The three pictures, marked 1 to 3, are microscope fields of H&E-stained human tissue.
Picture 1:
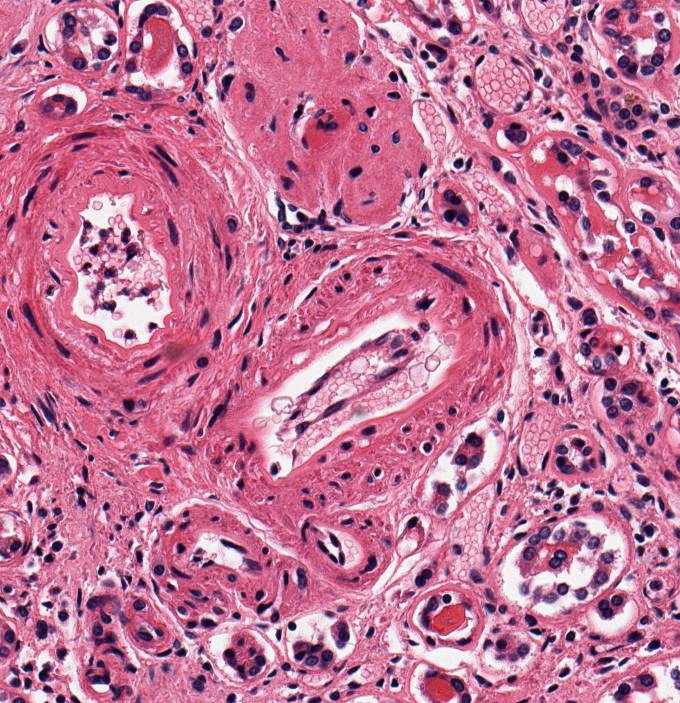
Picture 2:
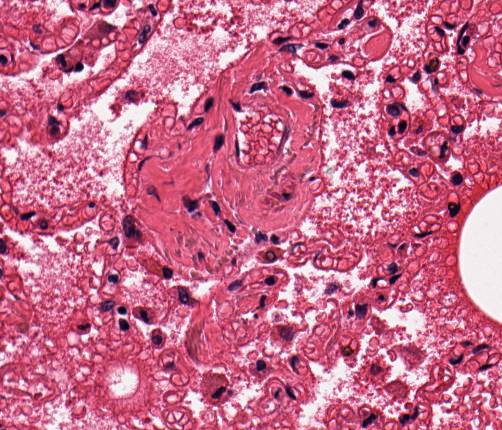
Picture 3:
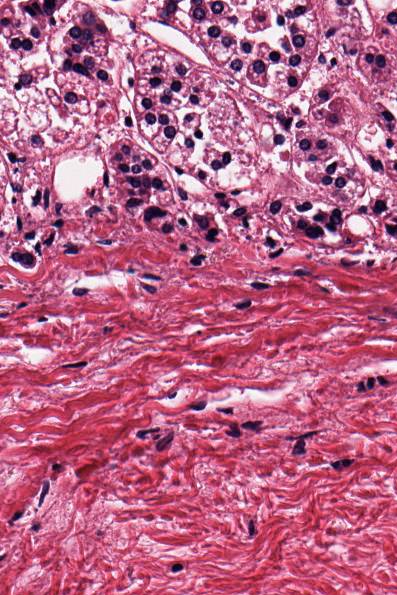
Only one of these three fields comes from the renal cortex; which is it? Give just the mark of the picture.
1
